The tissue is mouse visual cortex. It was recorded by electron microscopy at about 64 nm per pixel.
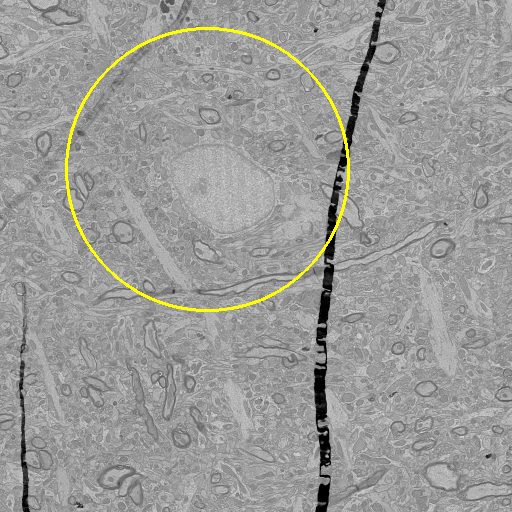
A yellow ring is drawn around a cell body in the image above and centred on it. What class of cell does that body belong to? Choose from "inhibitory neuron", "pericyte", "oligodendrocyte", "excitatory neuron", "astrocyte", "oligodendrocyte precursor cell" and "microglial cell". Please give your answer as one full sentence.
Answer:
The yellow ring above is centred on the cell body of an astrocyte.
